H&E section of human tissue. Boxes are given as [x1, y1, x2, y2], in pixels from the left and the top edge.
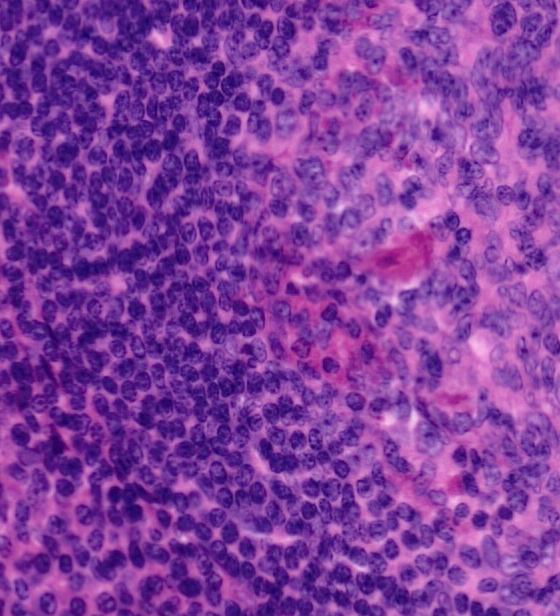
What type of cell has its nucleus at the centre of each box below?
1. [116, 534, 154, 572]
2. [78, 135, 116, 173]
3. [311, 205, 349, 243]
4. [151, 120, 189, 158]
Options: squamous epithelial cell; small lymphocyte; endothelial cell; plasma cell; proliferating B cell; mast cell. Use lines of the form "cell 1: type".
cell 1: small lymphocyte
cell 2: small lymphocyte
cell 3: proliferating B cell
cell 4: small lymphocyte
